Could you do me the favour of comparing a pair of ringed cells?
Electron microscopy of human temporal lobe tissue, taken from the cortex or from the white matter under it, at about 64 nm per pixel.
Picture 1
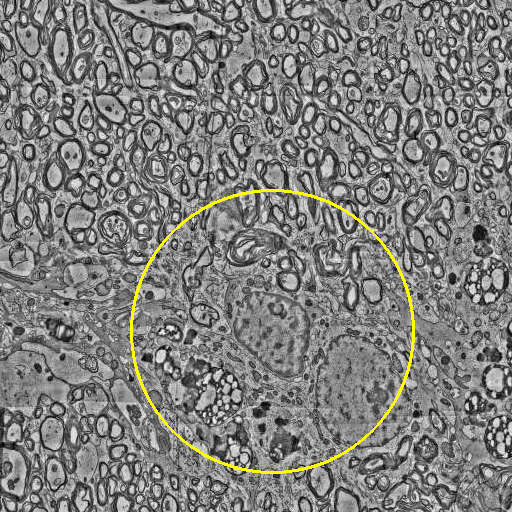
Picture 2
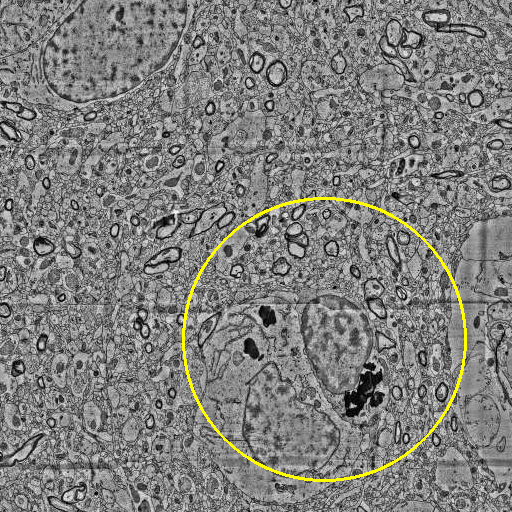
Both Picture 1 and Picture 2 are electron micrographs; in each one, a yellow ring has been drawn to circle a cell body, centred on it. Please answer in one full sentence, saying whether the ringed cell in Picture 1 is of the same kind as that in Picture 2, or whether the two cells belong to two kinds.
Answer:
The ringed cell in Picture 1 is of the same kind as that in Picture 2.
